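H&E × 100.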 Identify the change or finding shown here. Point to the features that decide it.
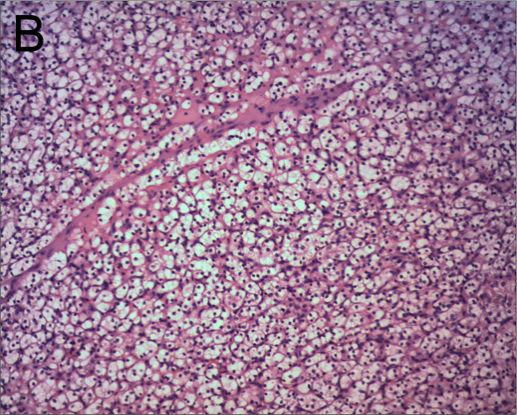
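Renal clear cell carcinoma. Sheets of cells with clear cytoplasm and distinct cell borders. Small dark round nuclei. A thin pink fibrovascular band crosses the field.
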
